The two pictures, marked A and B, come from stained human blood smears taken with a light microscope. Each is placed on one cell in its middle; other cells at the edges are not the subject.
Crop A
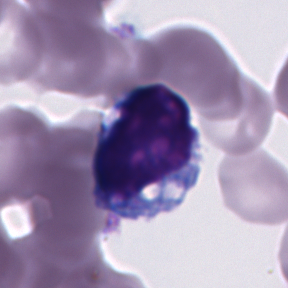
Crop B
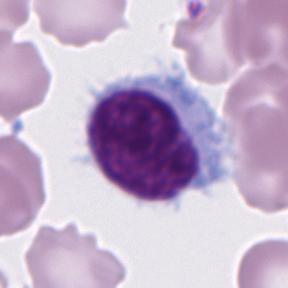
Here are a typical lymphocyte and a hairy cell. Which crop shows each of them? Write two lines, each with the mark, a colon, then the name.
A: typical lymphocyte
B: hairy cell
